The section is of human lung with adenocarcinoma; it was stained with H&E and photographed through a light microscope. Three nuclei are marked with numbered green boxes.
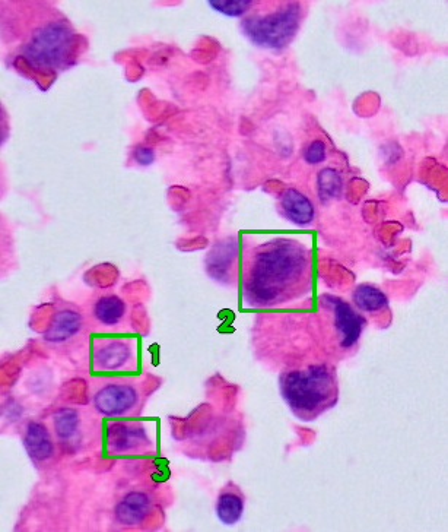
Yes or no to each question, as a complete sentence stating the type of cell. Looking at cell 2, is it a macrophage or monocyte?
No, number 2 identifies a carcinoma cell, not a macrophage or monocyte.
